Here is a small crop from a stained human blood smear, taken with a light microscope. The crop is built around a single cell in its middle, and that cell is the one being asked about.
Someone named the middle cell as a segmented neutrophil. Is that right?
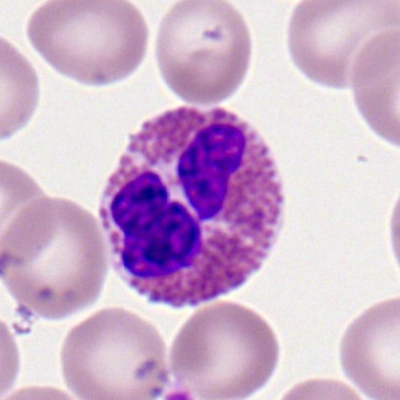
no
